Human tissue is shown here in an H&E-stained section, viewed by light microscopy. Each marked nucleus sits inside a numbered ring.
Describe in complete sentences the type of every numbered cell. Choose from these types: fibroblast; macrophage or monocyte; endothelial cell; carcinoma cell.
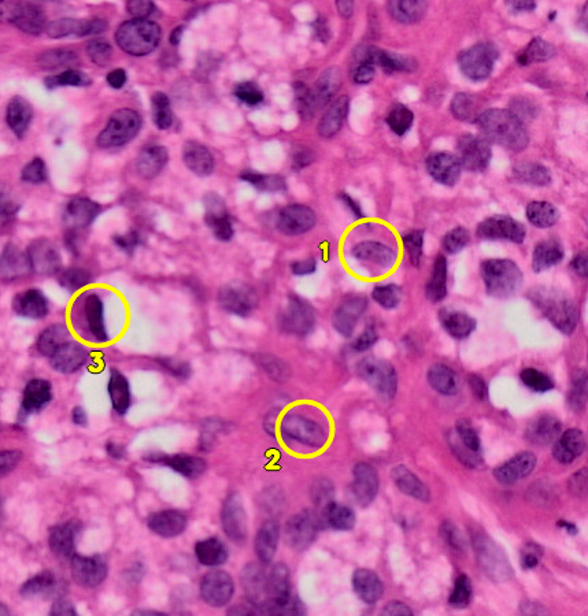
Cell 1 is a macrophage or monocyte. Cell 2 is an endothelial cell. Cell 3 is a carcinoma cell.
